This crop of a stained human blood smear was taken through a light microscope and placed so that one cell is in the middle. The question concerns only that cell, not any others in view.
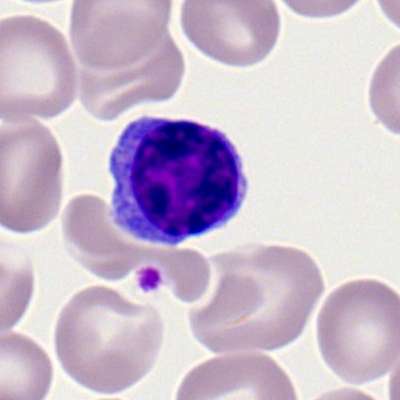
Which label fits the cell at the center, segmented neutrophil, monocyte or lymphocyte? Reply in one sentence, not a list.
This crop is built around a lymphocyte at its centre.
